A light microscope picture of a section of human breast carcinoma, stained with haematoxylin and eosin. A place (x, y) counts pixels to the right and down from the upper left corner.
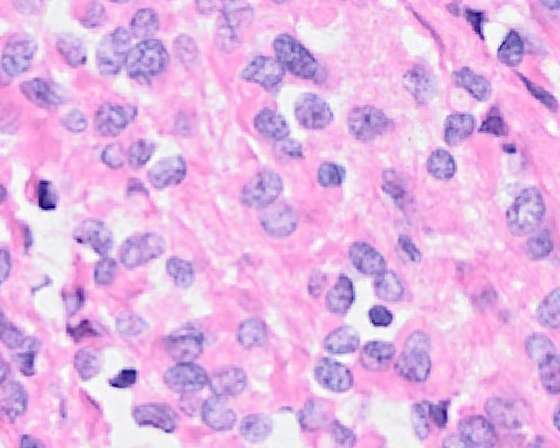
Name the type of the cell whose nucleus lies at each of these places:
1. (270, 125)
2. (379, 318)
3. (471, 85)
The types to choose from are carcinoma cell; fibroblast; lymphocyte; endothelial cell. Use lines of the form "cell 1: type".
cell 1: carcinoma cell
cell 2: lymphocyte
cell 3: carcinoma cell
